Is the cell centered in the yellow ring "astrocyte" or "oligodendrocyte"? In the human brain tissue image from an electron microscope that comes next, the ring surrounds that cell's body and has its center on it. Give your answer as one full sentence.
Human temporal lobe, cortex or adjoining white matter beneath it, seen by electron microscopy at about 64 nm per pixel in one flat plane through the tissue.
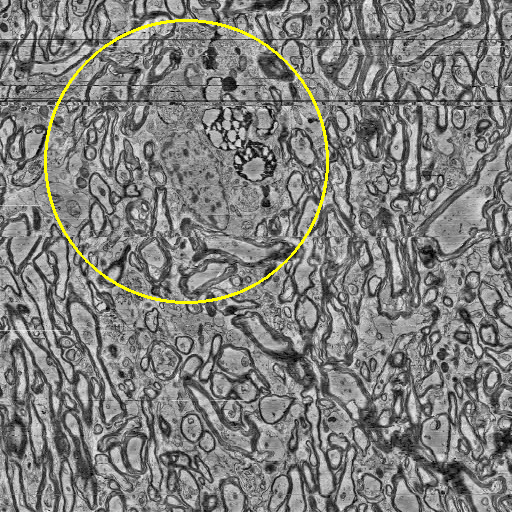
The cell at the center of the yellow ring is an astrocyte in the micrograph.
